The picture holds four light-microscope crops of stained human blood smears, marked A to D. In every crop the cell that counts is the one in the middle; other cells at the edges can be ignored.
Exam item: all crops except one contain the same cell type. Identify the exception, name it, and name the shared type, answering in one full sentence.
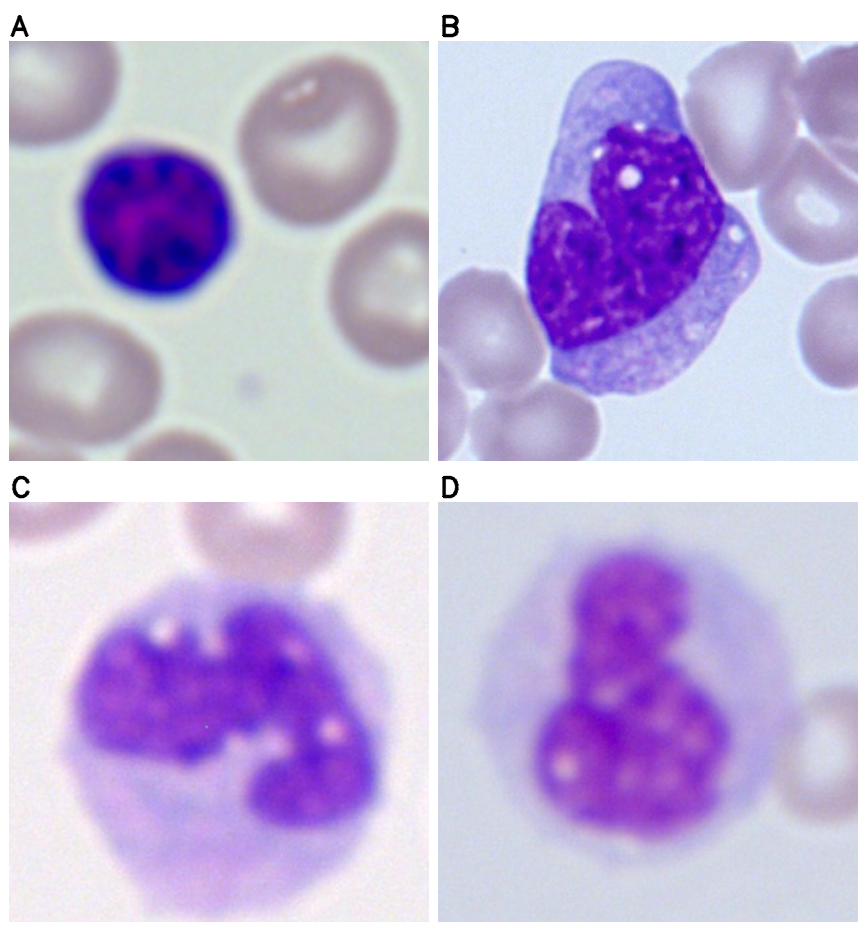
Whereas the other crops show monocytes, crop A is a lymphocyte.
